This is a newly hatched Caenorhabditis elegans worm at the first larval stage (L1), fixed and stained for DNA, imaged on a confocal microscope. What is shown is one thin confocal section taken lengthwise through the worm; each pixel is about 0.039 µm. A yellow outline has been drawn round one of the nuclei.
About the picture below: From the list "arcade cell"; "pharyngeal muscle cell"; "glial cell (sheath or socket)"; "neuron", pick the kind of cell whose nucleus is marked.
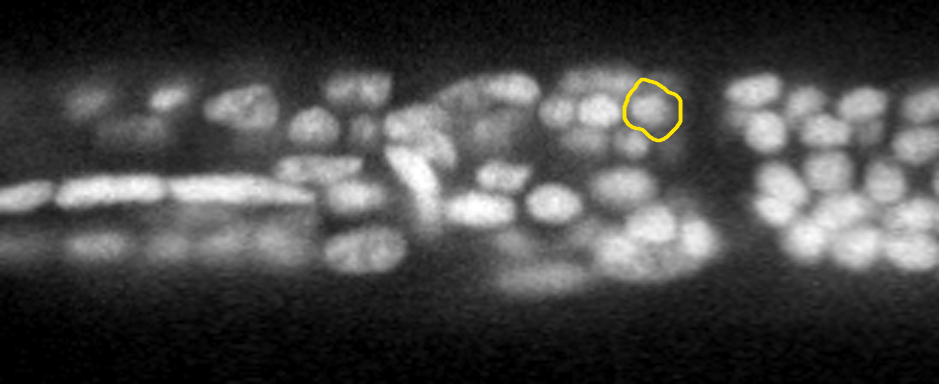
glial cell (sheath or socket)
